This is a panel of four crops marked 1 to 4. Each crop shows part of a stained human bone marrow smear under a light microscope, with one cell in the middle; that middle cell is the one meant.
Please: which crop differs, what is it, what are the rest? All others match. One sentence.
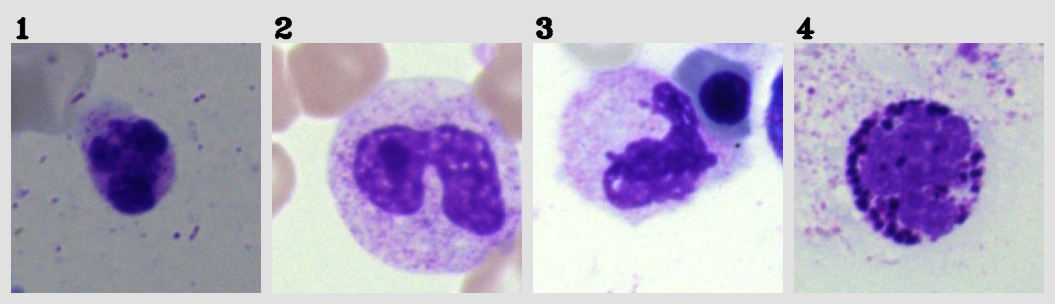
Crop 4 is the only one that is a basophil; all the others show segmented neutrophils.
